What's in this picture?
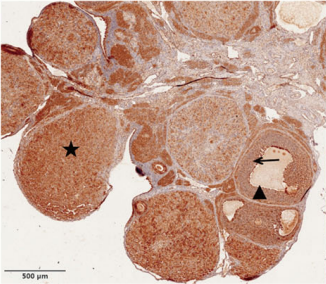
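This is an ovary section with corpora lutea and growing follicles, stained brown. At lower right a growing follicle shows a pale fluid-filled cavity lined by a band of granulosa cells, with a ring of surrounding tissue outside it. Further follicles with smaller cavities lie nearby. Between the structures lies paler stroma with faint bluish areas.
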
